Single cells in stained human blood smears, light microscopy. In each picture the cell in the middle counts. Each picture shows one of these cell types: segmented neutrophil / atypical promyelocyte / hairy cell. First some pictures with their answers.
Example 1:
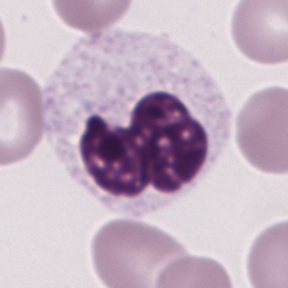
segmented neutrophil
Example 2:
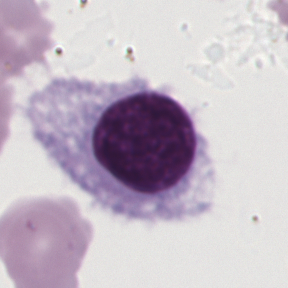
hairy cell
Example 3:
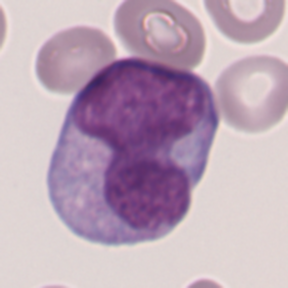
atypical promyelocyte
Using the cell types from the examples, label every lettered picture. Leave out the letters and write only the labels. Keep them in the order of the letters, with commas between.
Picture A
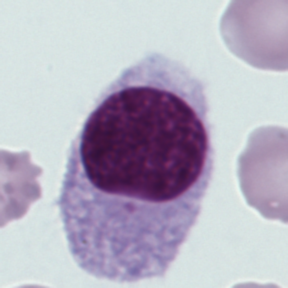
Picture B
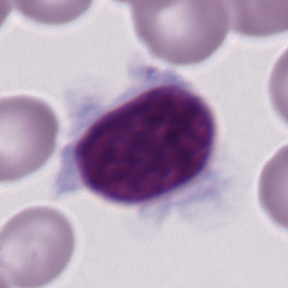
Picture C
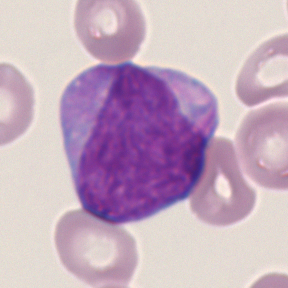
hairy cell, hairy cell, atypical promyelocyte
